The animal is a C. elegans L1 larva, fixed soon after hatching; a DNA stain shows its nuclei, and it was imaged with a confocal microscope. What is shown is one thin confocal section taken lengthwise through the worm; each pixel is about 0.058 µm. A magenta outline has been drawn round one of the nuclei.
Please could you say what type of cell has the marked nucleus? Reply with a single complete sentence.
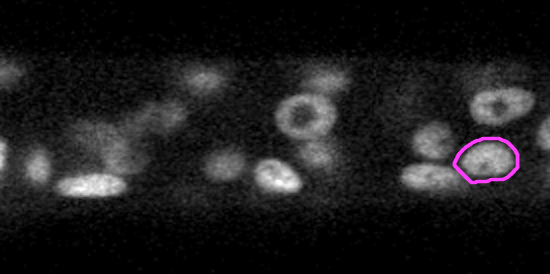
This nucleus is from a P cell (ventral epidermal blast cell).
